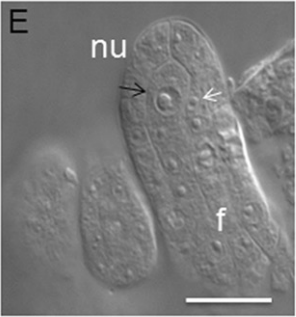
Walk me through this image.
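Several ovule primordia seen in differential interference contrast, composed of small cells with rounded nuclei and bright nucleoli, each primordium covered by a single outer cell layer. The right ovule is clearly larger than its neighbours. The ovules to the left are smaller and narrower, with evenly small cells. The lower part of the large ovule shows elongated cells towards its base.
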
